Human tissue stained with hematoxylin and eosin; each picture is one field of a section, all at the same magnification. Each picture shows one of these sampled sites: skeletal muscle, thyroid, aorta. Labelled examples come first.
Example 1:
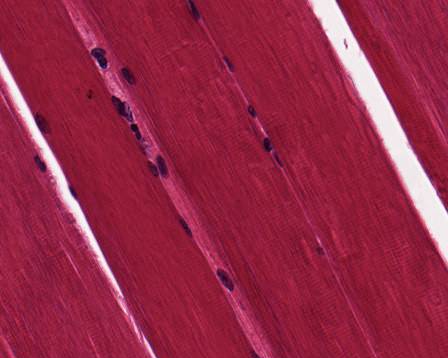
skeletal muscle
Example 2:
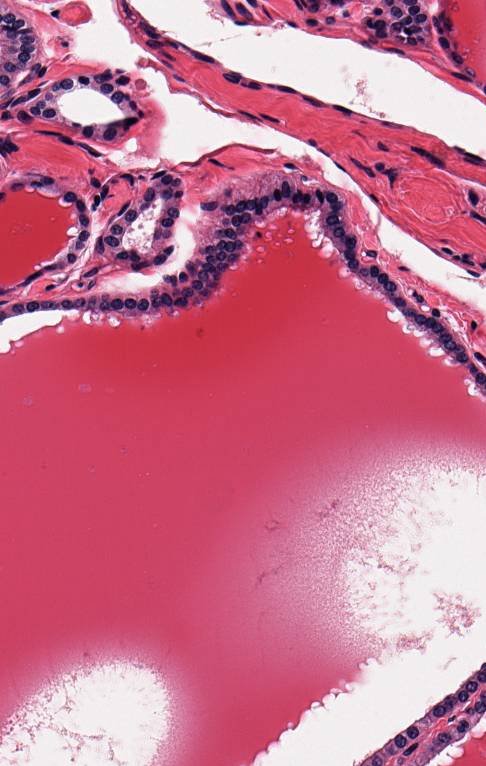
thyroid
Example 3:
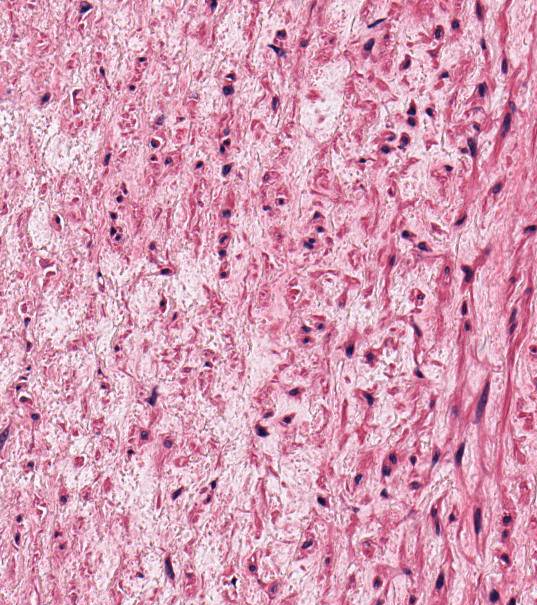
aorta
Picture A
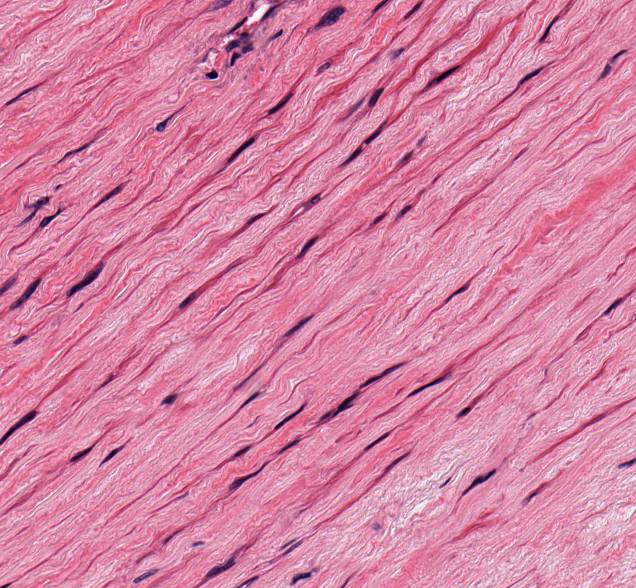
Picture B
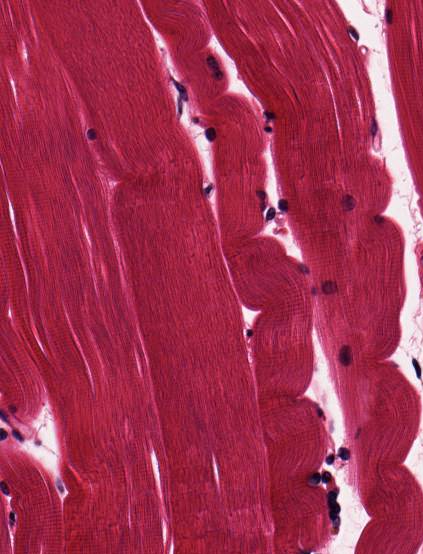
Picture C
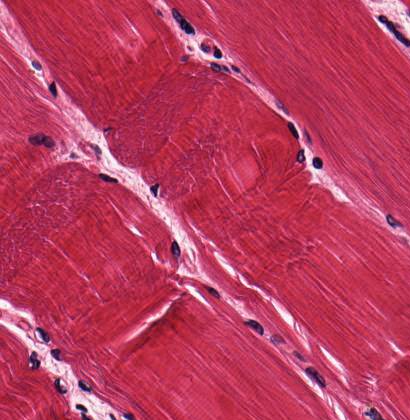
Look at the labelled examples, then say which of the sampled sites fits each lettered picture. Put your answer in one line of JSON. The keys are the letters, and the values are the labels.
{"A": "aorta", "B": "skeletal muscle", "C": "skeletal muscle"}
